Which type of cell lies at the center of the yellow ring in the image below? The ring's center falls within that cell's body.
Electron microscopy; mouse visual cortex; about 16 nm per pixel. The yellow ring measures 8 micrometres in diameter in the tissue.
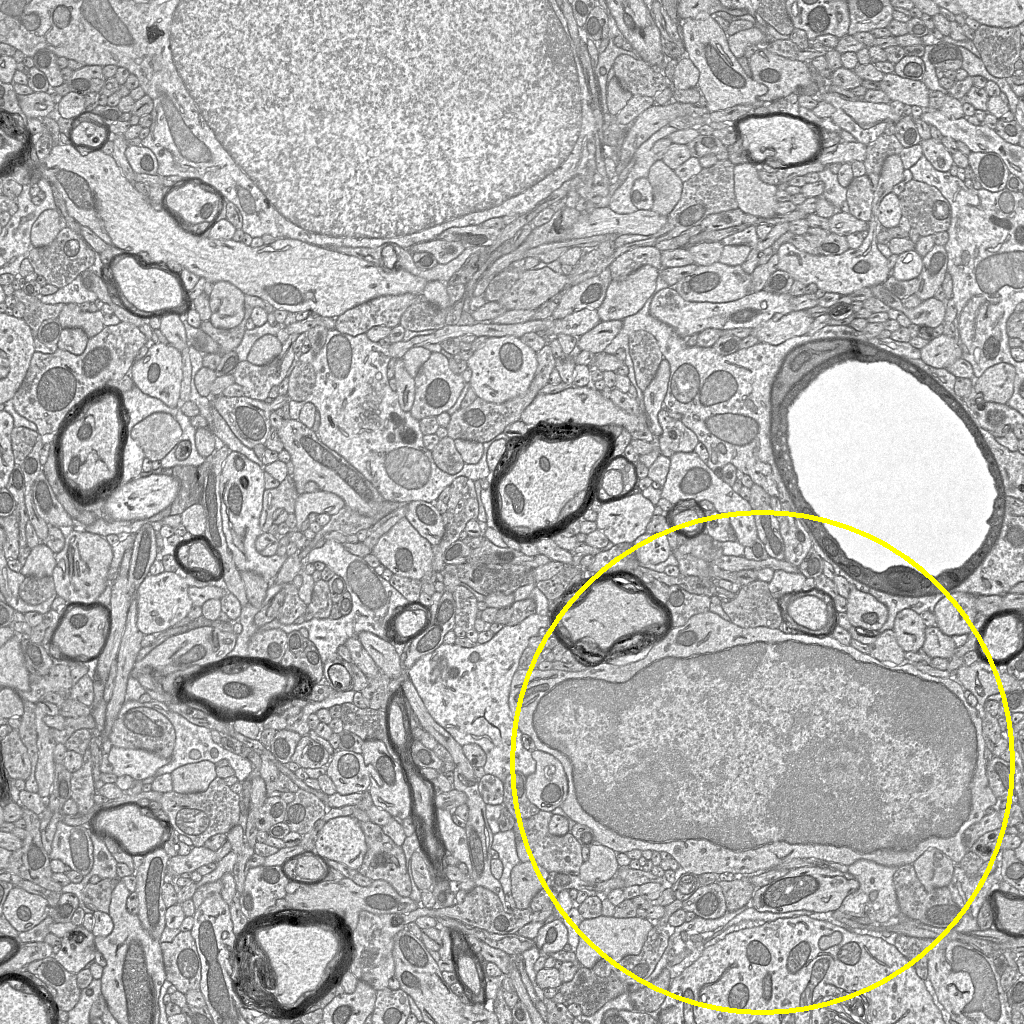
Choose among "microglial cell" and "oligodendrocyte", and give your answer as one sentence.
The cell body at the center belongs to a microglial cell.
